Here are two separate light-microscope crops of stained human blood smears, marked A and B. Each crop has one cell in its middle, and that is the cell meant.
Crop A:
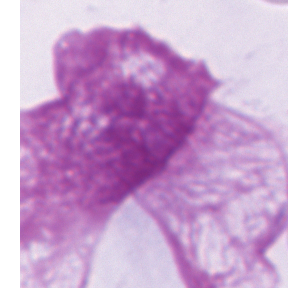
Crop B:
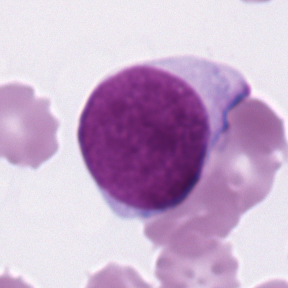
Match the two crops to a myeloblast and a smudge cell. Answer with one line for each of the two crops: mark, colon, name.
A: smudge cell
B: myeloblast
